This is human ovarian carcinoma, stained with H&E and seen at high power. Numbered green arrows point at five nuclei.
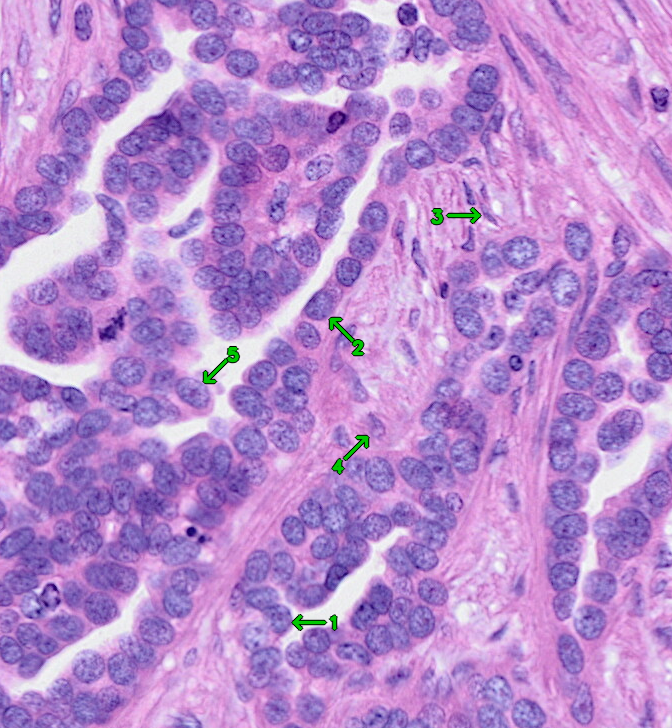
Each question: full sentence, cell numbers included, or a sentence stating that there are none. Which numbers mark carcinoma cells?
The cells bearing the numbers 1, 2 and 5 are carcinoma cells.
